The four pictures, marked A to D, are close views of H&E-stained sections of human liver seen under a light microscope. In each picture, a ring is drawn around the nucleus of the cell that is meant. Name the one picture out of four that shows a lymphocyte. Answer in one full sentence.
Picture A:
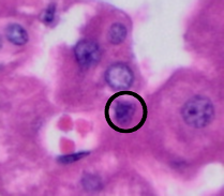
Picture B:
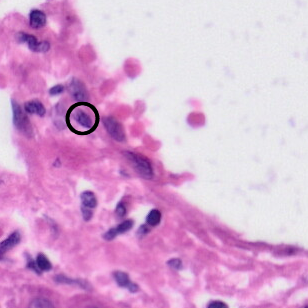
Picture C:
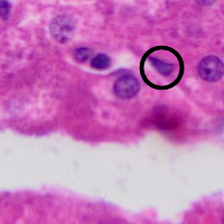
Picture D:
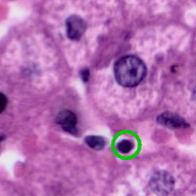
The picture with the lymphocyte is D.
